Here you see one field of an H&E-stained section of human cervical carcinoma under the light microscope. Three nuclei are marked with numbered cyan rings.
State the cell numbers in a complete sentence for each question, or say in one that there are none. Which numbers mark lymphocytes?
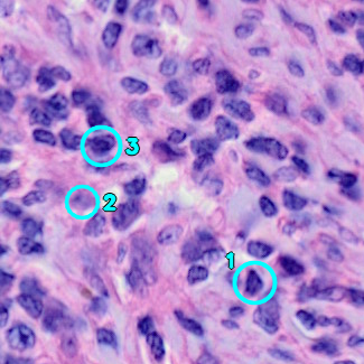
By cell type, the cells numbered 1 and 3 are lymphocytes.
